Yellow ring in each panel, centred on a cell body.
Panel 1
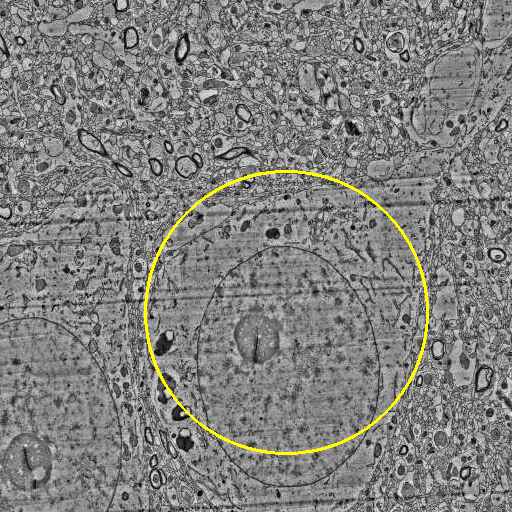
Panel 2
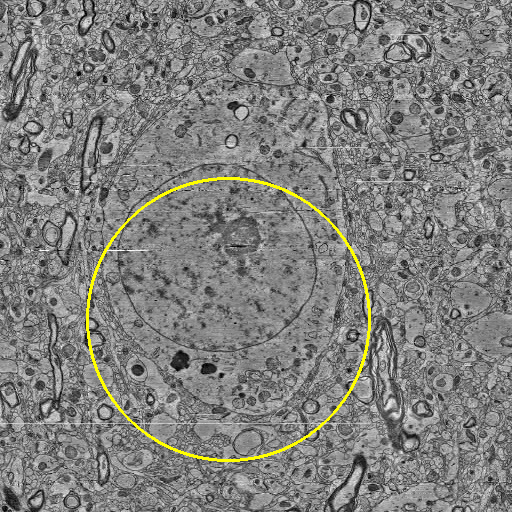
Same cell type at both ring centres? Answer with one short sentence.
Yes, both cells are of the same type.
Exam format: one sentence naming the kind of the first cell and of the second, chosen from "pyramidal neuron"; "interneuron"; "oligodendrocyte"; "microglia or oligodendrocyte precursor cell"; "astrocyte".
Each one of the two ringed cells is a pyramidal neuron.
